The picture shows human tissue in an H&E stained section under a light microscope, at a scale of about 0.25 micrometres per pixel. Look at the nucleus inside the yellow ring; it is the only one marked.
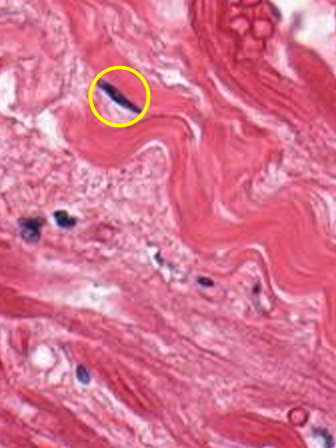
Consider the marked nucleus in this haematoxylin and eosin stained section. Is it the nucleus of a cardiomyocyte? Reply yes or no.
no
